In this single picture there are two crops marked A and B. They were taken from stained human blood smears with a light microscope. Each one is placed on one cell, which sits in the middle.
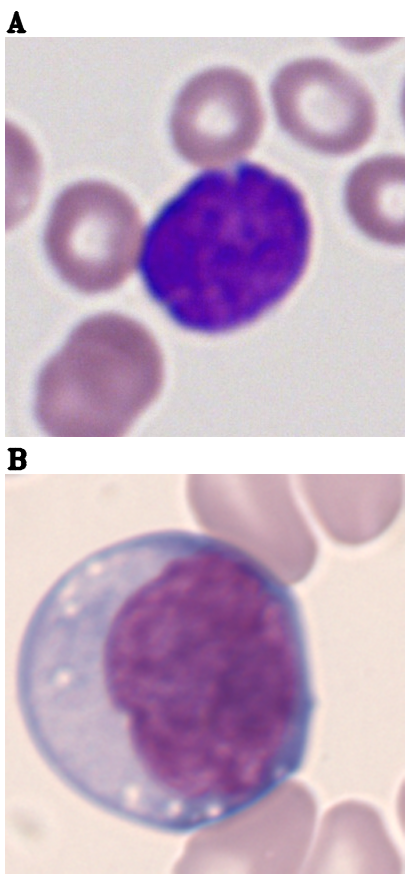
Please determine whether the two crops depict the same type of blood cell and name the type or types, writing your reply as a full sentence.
Yes, both crops depict blasts at the centre.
